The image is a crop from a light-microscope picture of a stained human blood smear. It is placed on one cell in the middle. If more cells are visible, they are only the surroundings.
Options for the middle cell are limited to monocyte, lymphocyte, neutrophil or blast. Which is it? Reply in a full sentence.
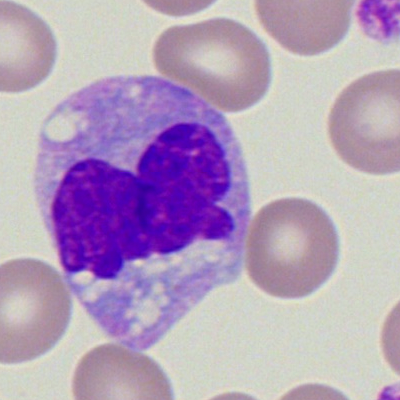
At the middle of the frame sits a monocyte.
